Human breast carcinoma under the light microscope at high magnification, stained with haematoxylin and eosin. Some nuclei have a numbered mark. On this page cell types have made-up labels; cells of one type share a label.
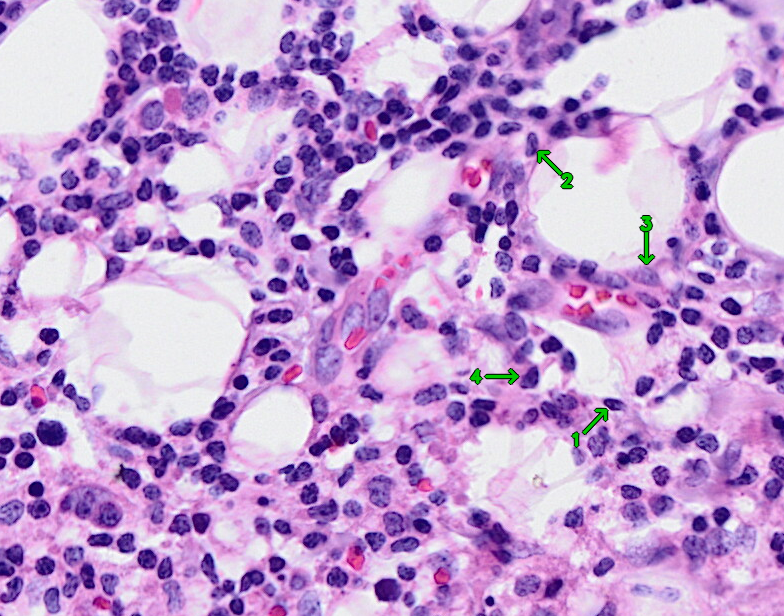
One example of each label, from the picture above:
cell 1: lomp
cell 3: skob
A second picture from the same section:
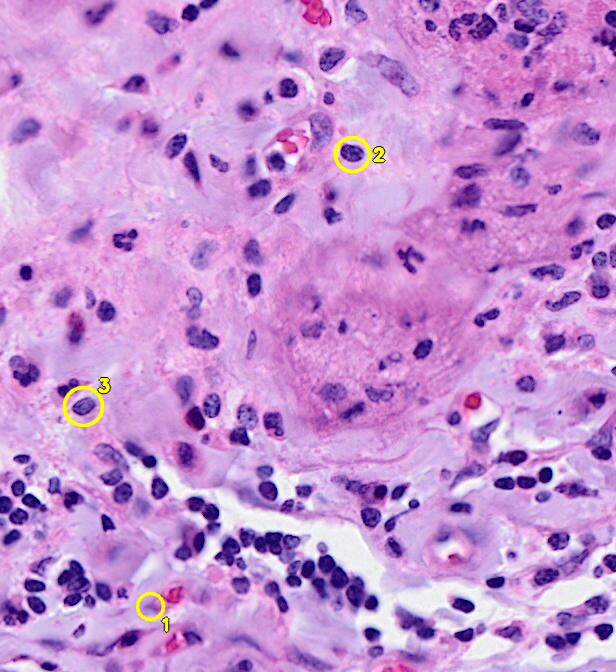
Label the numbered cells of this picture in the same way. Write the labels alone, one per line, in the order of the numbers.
skob
lomp
lomp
